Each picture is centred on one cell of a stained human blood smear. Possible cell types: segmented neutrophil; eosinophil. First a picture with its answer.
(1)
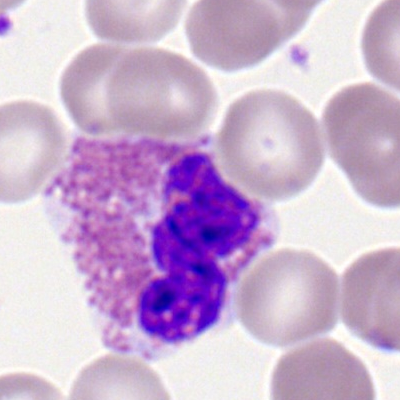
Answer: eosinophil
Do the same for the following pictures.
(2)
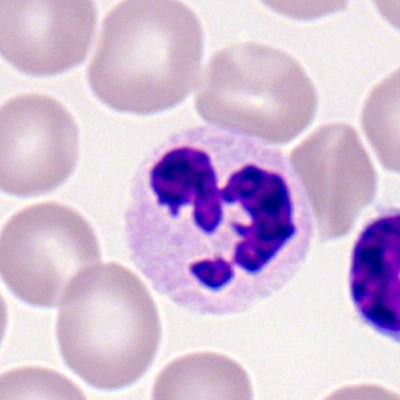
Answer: segmented neutrophil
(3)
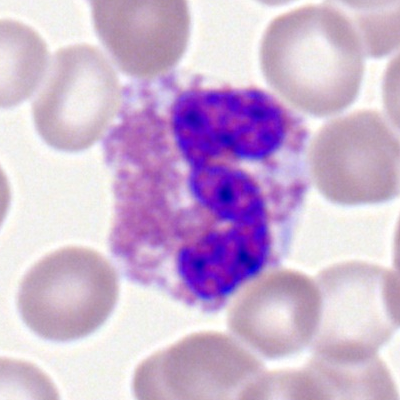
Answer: eosinophil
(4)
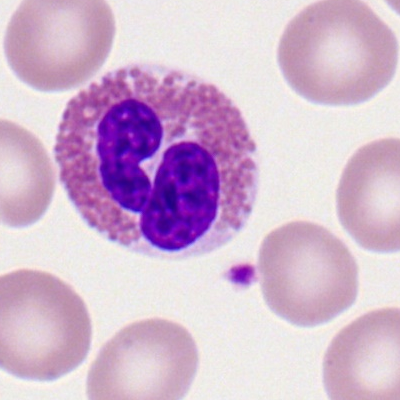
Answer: eosinophil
